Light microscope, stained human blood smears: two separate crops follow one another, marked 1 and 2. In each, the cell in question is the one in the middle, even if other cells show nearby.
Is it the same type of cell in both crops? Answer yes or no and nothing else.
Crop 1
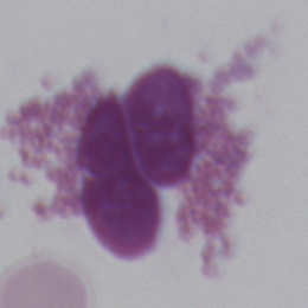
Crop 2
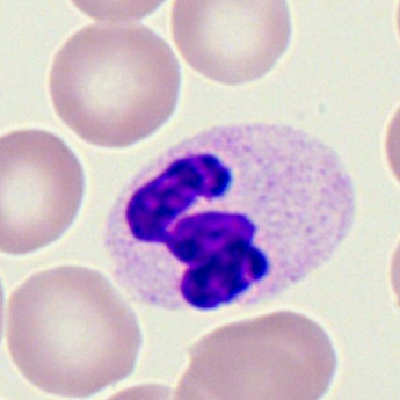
no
